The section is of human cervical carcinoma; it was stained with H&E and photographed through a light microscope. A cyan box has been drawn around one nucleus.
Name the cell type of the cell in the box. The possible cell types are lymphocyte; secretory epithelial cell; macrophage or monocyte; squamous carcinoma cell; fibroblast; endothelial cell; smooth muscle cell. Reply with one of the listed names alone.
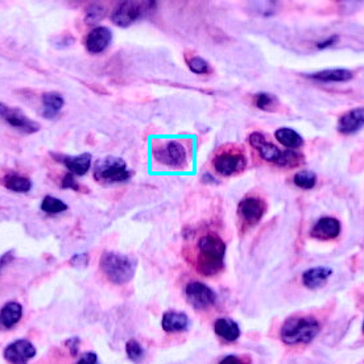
macrophage or monocyte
